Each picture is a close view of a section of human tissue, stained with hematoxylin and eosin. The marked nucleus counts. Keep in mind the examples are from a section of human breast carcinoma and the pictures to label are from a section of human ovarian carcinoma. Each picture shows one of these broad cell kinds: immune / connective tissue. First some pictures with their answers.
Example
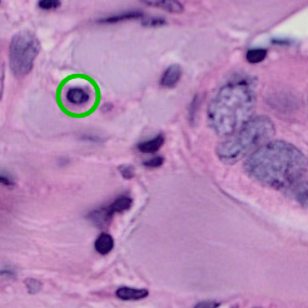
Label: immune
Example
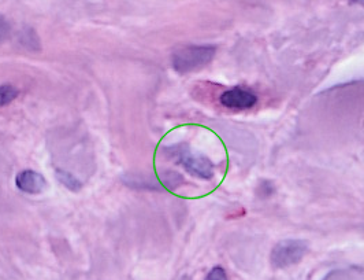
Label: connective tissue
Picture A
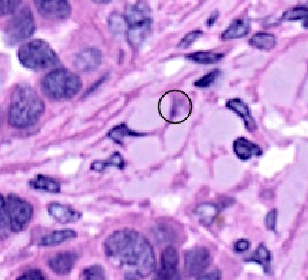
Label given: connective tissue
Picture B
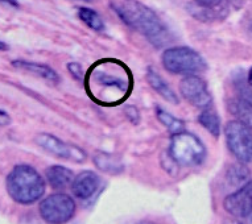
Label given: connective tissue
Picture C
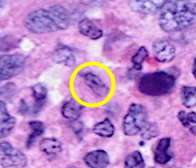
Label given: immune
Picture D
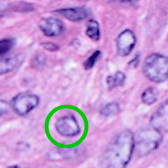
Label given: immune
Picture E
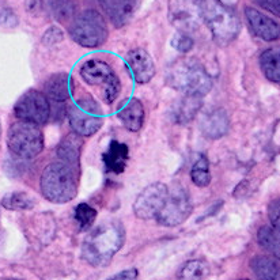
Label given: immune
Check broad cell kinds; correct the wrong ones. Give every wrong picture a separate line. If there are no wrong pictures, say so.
Wrong: D (immune); correct: connective tissue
